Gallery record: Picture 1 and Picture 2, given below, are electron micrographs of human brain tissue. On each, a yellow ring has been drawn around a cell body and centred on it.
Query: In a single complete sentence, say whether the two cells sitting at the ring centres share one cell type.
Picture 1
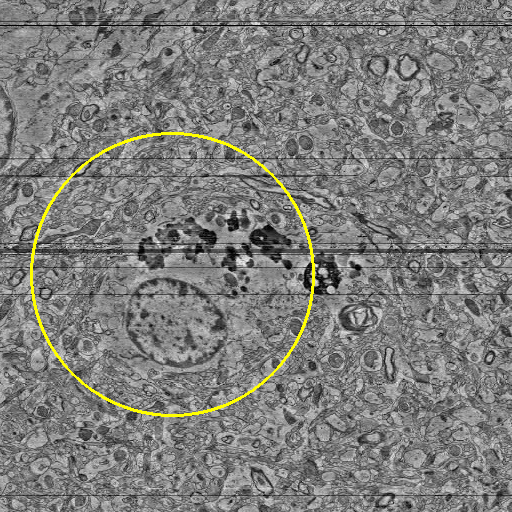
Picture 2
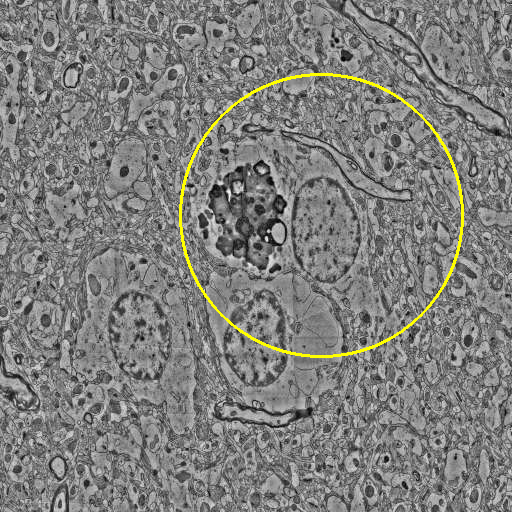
Yes, in both pictures the cell at the ring's centre is of one and the same type.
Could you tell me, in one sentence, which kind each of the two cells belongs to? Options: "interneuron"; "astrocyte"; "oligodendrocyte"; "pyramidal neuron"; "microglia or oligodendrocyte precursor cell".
Each of the two pictures has an astrocyte at the ring centre.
